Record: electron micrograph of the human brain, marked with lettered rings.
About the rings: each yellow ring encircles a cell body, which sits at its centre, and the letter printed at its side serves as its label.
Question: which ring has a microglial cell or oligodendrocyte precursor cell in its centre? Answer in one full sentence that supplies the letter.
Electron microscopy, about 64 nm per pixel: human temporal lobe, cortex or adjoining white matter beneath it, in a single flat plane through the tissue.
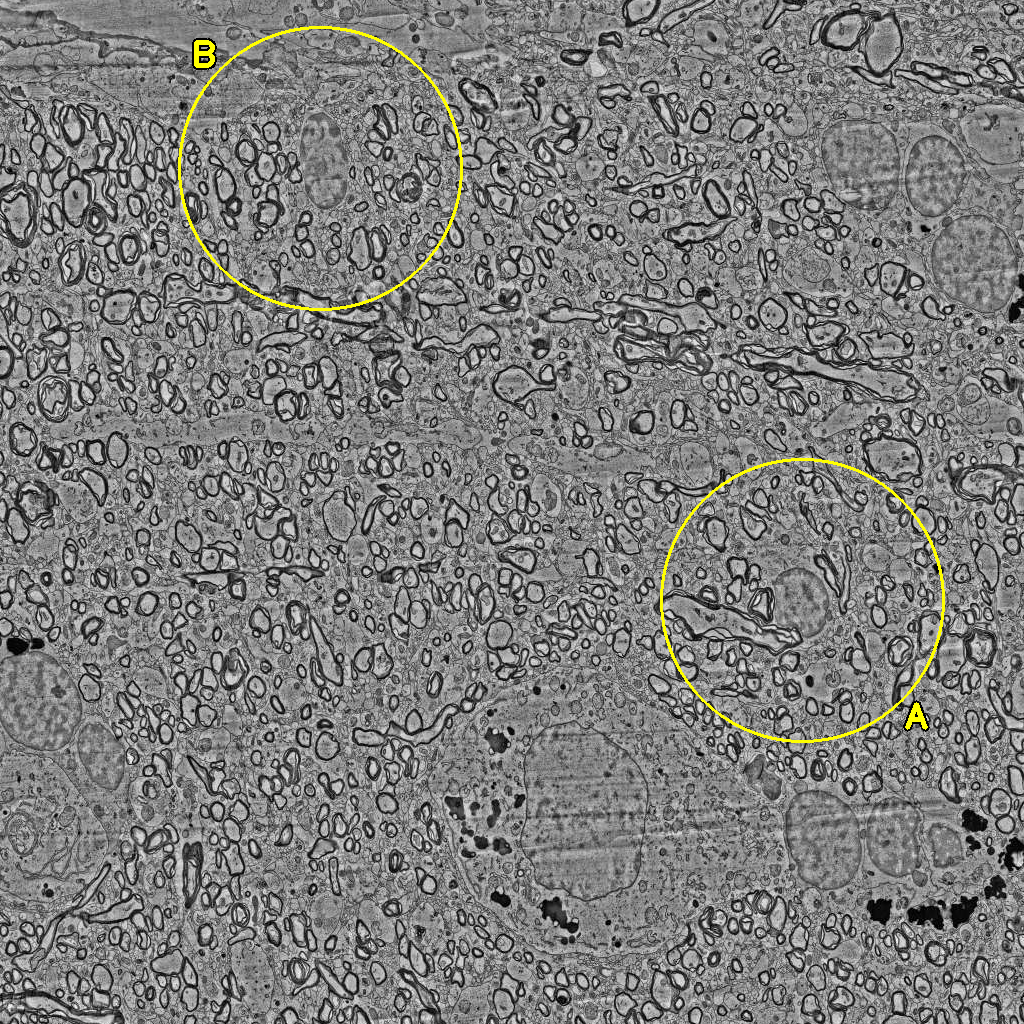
Within the picture, a cell of that kind is centred inside the ring marked B.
